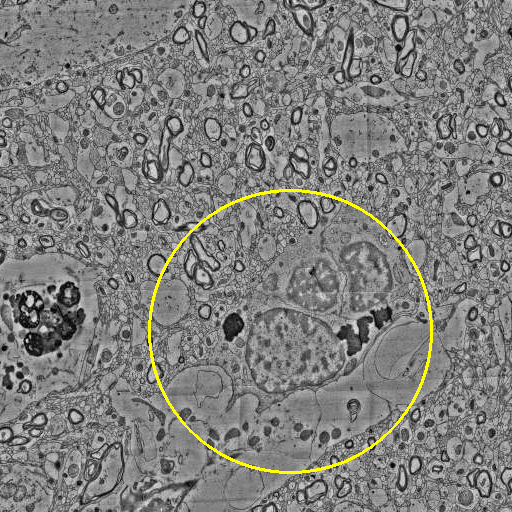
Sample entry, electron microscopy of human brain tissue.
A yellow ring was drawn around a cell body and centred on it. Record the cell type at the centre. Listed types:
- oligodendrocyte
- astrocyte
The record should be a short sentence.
The cell at the ring's centre is an oligodendrocyte.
